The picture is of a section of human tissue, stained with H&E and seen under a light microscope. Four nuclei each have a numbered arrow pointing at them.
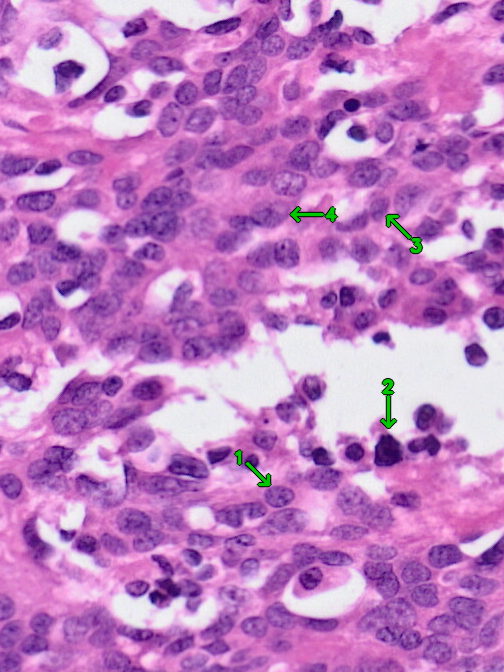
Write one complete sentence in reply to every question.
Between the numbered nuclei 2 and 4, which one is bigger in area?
The larger nucleus is 2, at roughly 1.5 times the area of 4.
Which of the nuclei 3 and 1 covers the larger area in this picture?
Of the two, number 1 is bigger and takes up about 1.5 times the area of number 3.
